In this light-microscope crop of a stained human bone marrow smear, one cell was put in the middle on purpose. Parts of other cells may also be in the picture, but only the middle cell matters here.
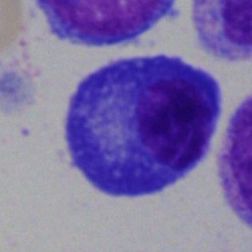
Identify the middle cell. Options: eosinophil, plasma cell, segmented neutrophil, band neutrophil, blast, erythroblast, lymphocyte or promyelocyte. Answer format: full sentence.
The cell in the middle of the field of view is a plasma cell.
